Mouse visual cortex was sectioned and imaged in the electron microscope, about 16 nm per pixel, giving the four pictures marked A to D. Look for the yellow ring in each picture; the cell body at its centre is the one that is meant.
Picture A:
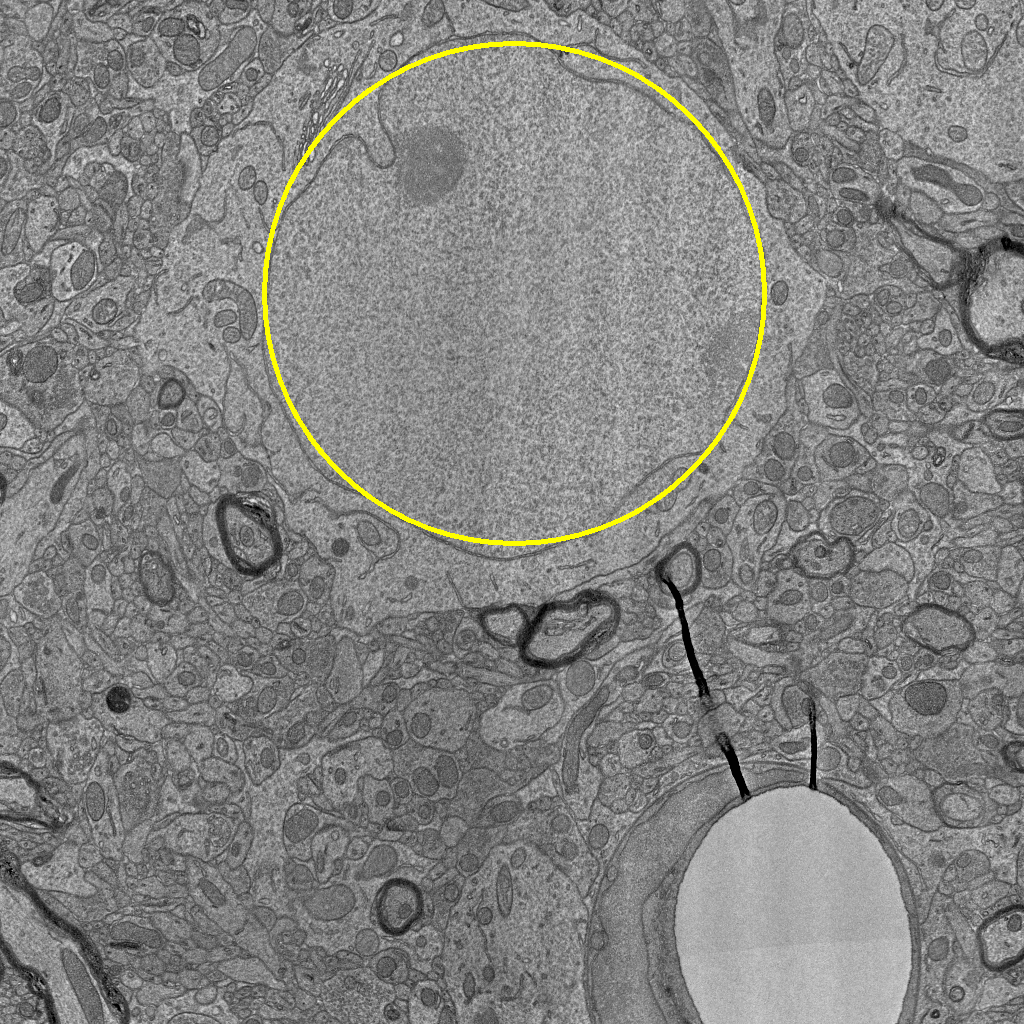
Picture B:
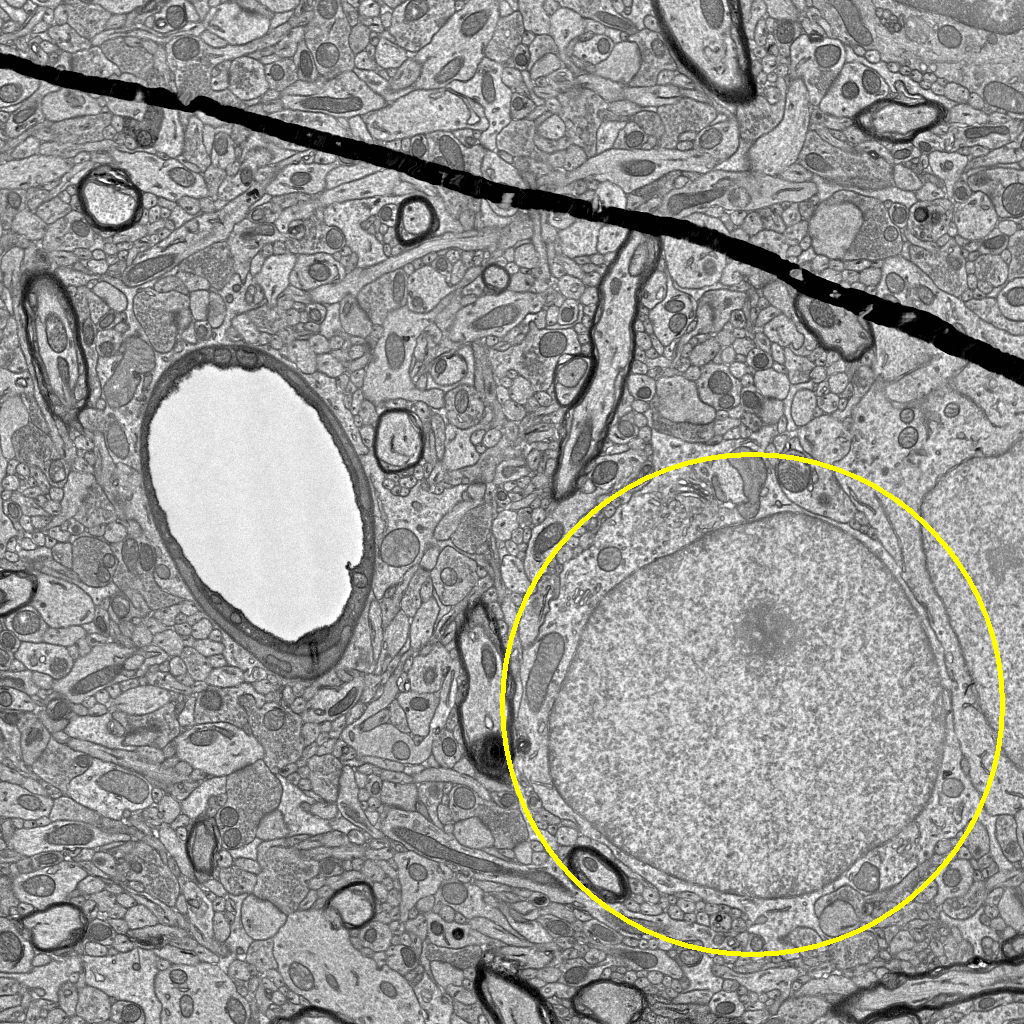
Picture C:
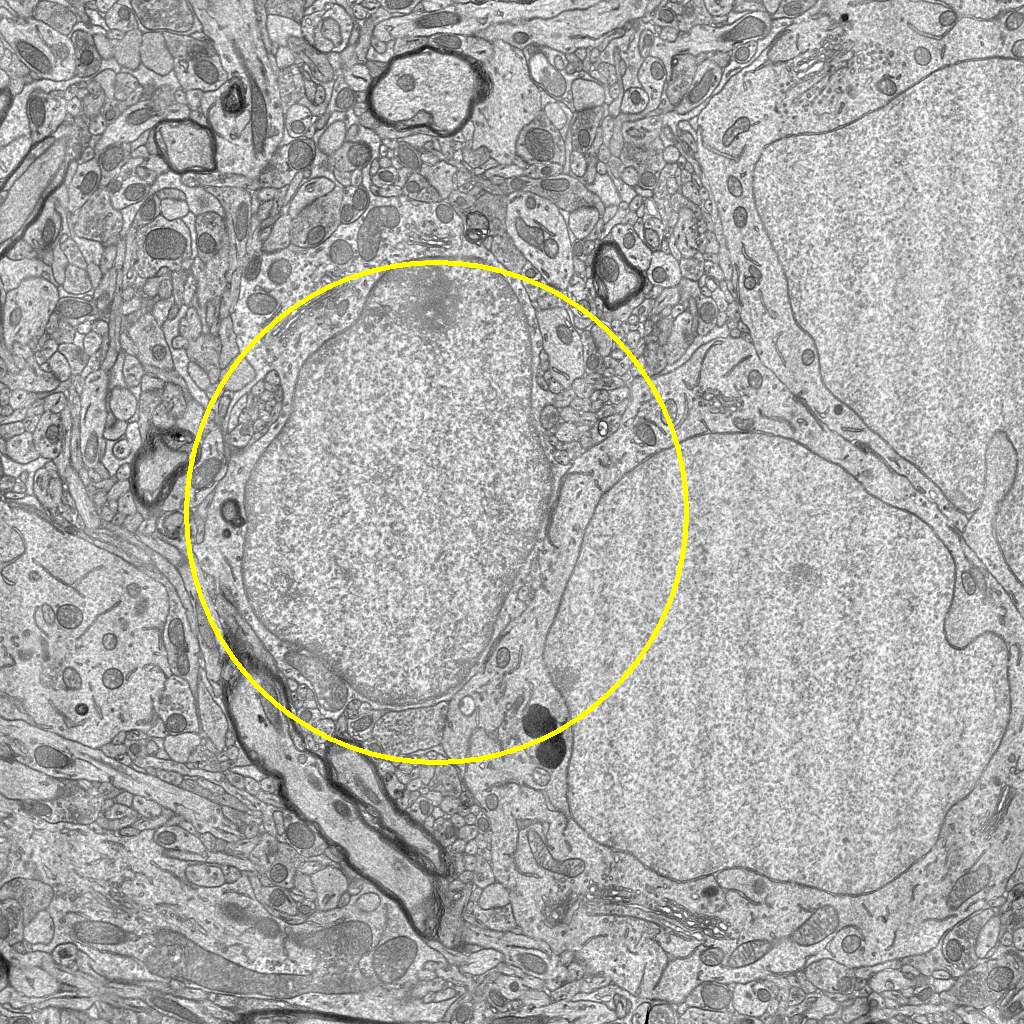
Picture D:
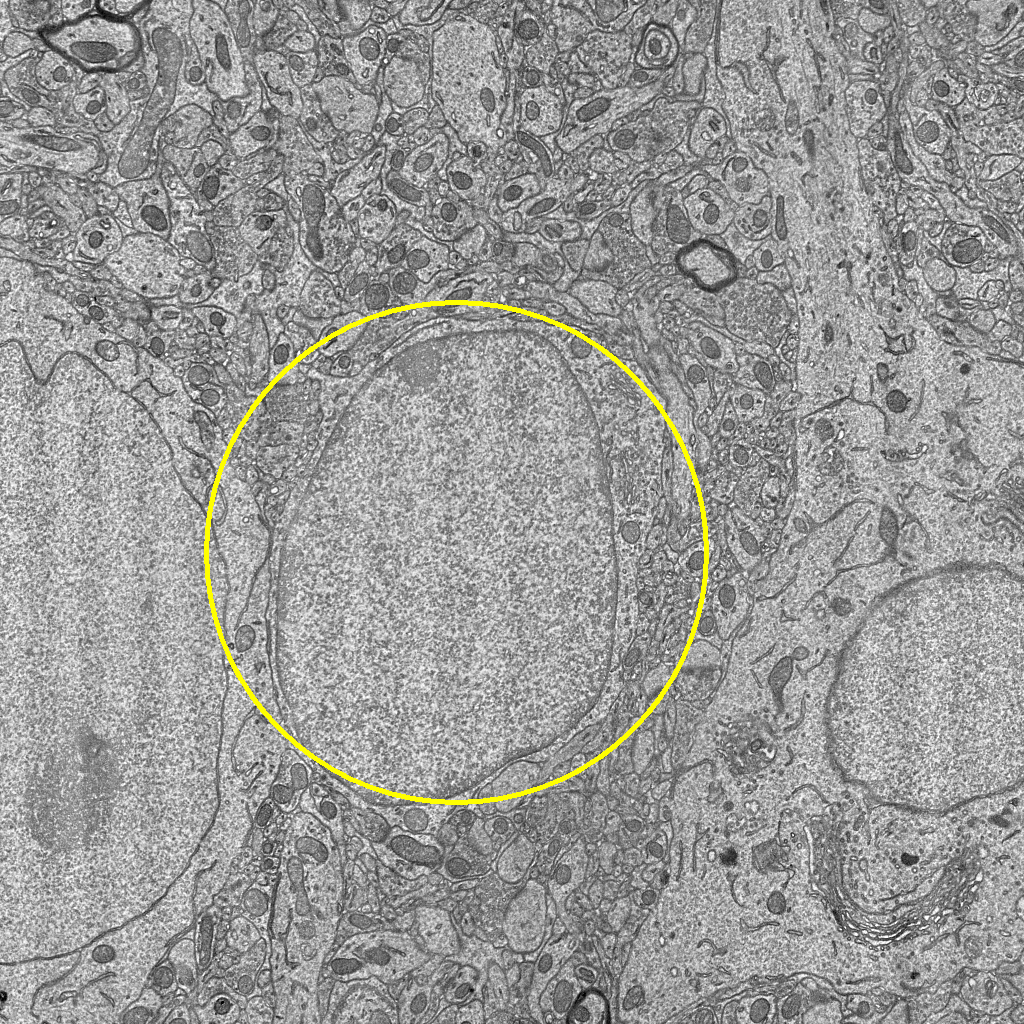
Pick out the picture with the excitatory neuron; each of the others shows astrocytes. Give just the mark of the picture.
A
